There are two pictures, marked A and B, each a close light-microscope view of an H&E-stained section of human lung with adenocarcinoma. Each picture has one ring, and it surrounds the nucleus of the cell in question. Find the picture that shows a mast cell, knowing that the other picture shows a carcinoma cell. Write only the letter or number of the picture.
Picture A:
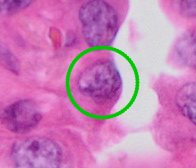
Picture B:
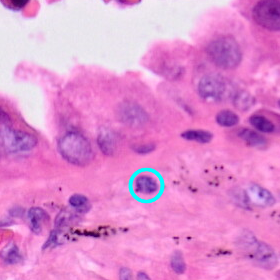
B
